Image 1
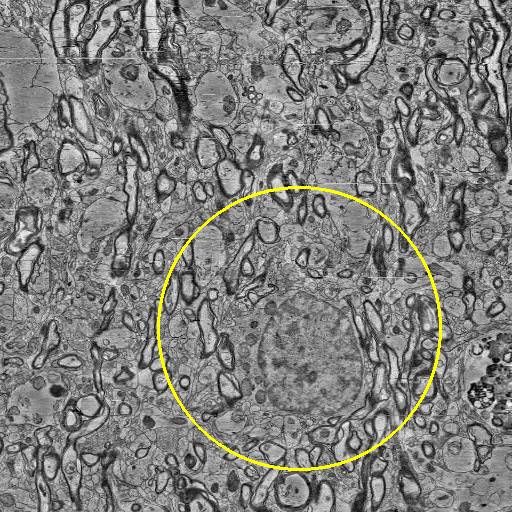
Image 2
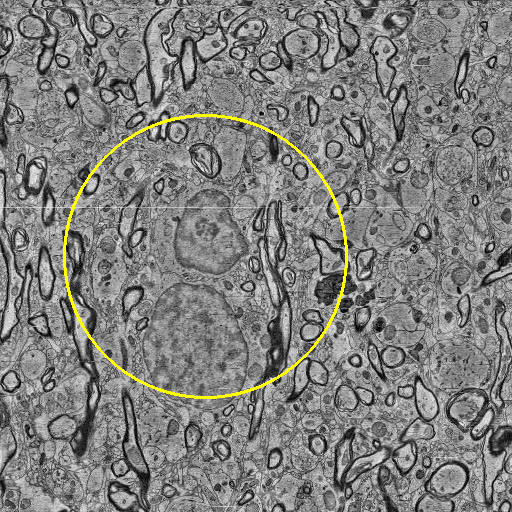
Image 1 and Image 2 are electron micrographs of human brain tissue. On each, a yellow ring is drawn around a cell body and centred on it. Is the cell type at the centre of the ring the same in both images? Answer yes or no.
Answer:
yes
